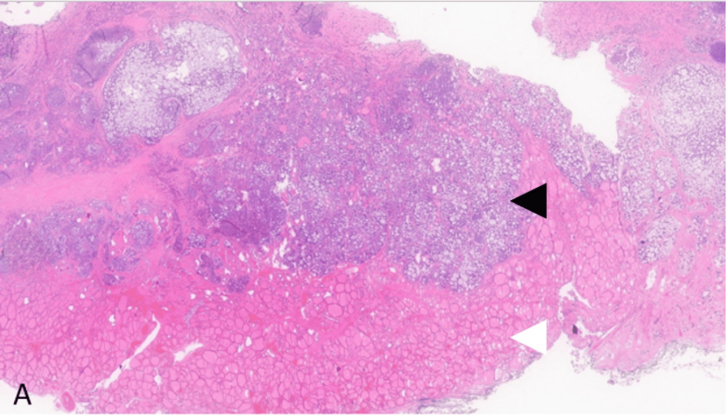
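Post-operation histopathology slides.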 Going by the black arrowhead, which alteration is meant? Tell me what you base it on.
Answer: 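The marked area is a large purple, densely cellular mass. Several rounded nodules of this cellular tissue are set in the pink tissue. The answer: nodules of tumor cells.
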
